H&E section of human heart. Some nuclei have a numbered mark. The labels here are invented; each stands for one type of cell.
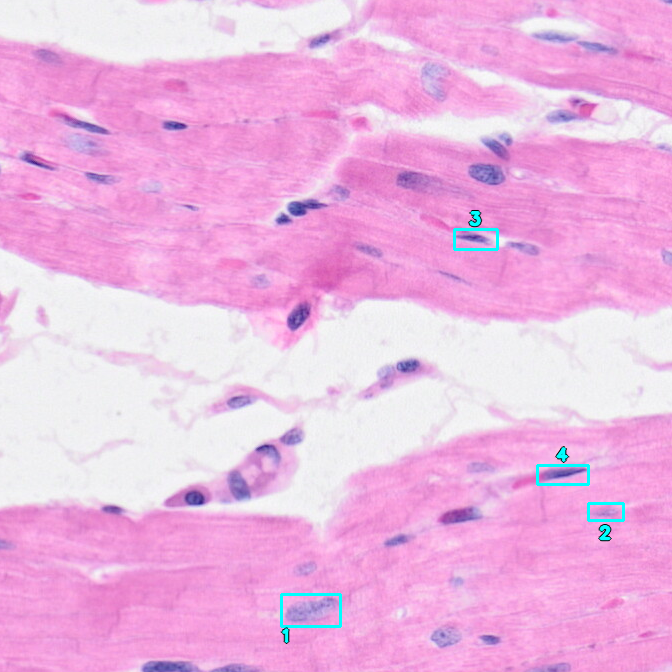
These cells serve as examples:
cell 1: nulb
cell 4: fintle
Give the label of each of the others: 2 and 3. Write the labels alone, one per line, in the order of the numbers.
nulb
fintle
